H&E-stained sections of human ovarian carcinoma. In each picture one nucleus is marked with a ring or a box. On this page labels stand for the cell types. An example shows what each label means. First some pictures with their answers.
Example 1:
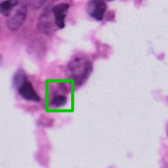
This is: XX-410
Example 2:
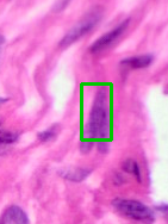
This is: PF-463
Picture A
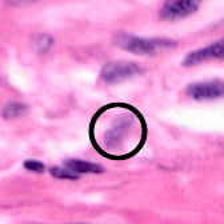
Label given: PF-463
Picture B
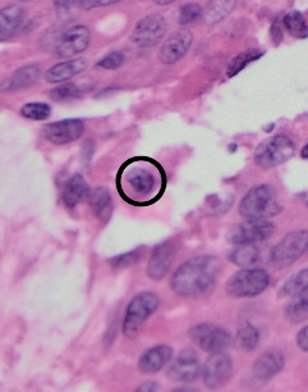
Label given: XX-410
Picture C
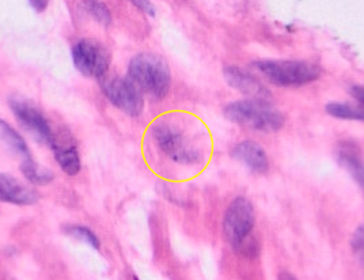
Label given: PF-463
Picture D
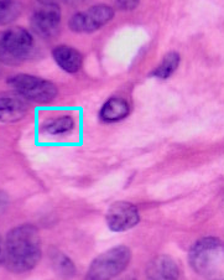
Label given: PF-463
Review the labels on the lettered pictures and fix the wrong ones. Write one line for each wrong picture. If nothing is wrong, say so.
D: change PF-463 to XX-410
